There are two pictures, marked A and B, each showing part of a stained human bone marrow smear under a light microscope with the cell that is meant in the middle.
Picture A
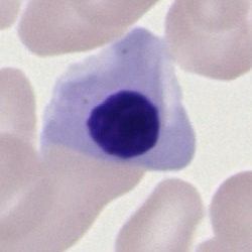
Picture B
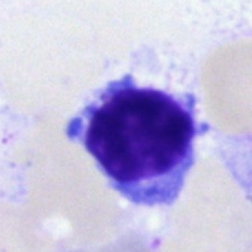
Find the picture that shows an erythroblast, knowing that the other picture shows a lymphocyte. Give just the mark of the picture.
A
